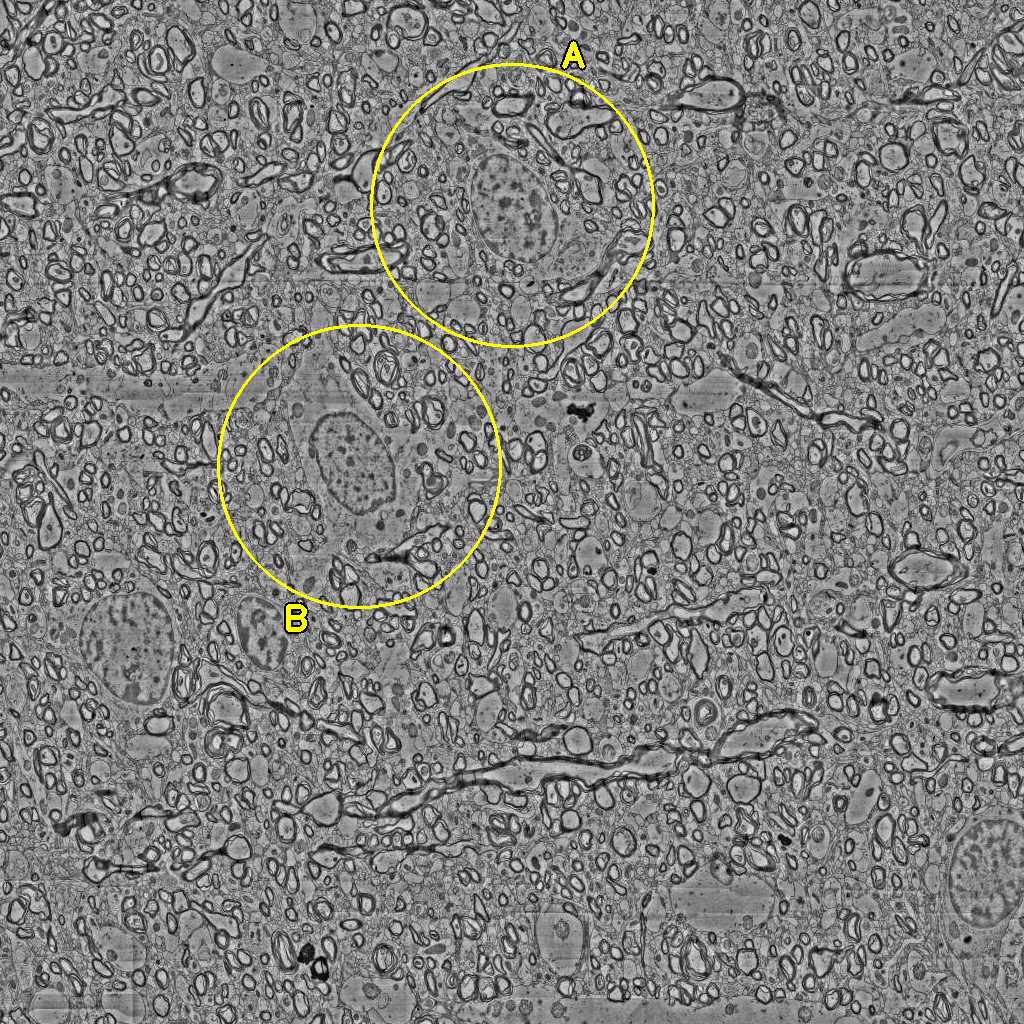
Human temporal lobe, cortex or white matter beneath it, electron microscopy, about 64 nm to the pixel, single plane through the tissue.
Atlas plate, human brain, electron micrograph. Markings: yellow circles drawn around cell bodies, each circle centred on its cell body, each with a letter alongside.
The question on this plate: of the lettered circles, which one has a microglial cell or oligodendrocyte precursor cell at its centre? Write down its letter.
A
